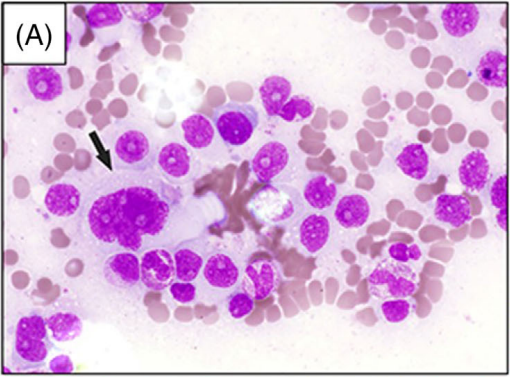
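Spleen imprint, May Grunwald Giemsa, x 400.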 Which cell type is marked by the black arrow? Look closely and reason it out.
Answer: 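The marked cell is far larger than its neighbours. Its nucleus is large and irregular in outline. It has a pale rim of cytoplasm. That points to this answer: large pleomorphic cells.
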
